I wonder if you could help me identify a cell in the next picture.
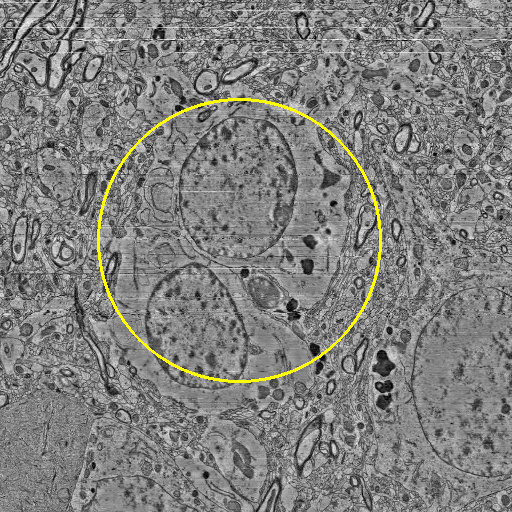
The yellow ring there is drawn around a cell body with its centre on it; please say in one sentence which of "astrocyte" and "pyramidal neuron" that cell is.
The yellow ring is centred on an astrocyte.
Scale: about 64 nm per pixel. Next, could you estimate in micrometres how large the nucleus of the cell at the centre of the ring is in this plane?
Roughly 10 by 8 micrometres is the size of the nucleus in this plane.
